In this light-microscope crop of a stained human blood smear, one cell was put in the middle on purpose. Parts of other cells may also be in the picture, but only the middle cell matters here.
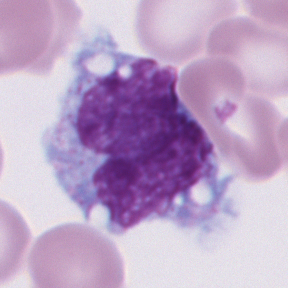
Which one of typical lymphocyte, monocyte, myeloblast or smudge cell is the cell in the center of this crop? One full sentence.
Regarding the central cell, it is a monocyte.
